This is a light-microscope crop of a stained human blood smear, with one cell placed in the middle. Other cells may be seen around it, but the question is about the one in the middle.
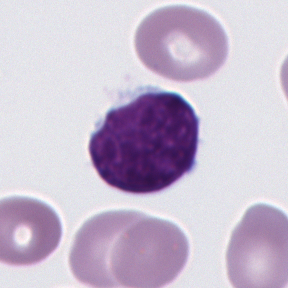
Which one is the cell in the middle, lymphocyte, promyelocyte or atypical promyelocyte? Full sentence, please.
This crop is built around a lymphocyte at its centre.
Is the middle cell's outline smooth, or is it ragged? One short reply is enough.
Ragged or projecting, the border of this cell departs from a smooth contour.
